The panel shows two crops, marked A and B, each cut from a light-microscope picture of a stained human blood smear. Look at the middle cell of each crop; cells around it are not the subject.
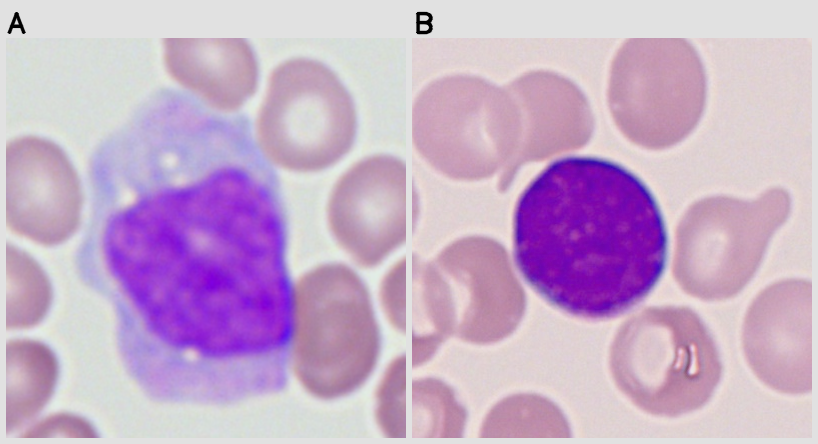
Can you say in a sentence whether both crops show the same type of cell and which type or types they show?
No, within crop A lies a monocyte, and within crop B lies a myeloblast.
